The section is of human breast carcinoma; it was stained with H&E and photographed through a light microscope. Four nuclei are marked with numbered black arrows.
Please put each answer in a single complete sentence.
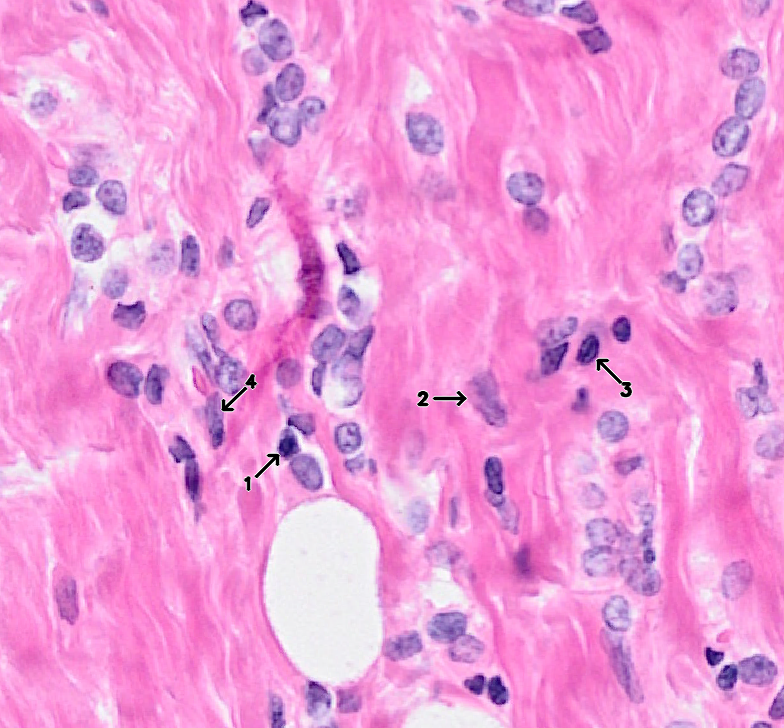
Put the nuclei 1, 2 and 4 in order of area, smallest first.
Smallest first, the nuclei run 1, 4, 2.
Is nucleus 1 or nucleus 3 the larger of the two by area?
Number 3 is larger; its area is about 1.5 times that of number 1.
